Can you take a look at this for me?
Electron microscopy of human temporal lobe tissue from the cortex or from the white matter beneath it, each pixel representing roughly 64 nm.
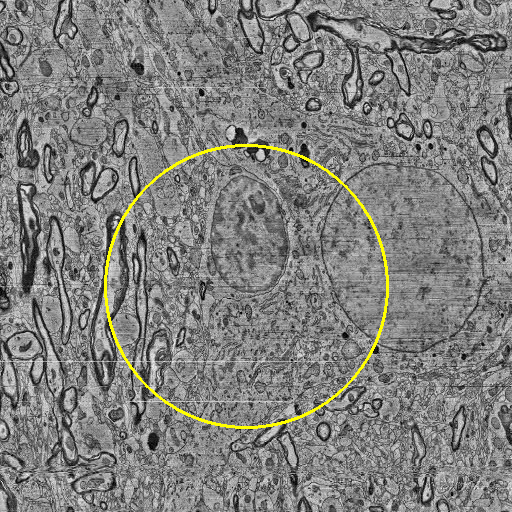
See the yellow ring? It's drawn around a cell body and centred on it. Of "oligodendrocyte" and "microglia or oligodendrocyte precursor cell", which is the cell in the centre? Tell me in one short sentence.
The one in the centre is an oligodendrocyte.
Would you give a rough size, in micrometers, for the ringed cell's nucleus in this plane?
About 8 by 5 micrometres; in this plane the nucleus is clearly longer than it is wide.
